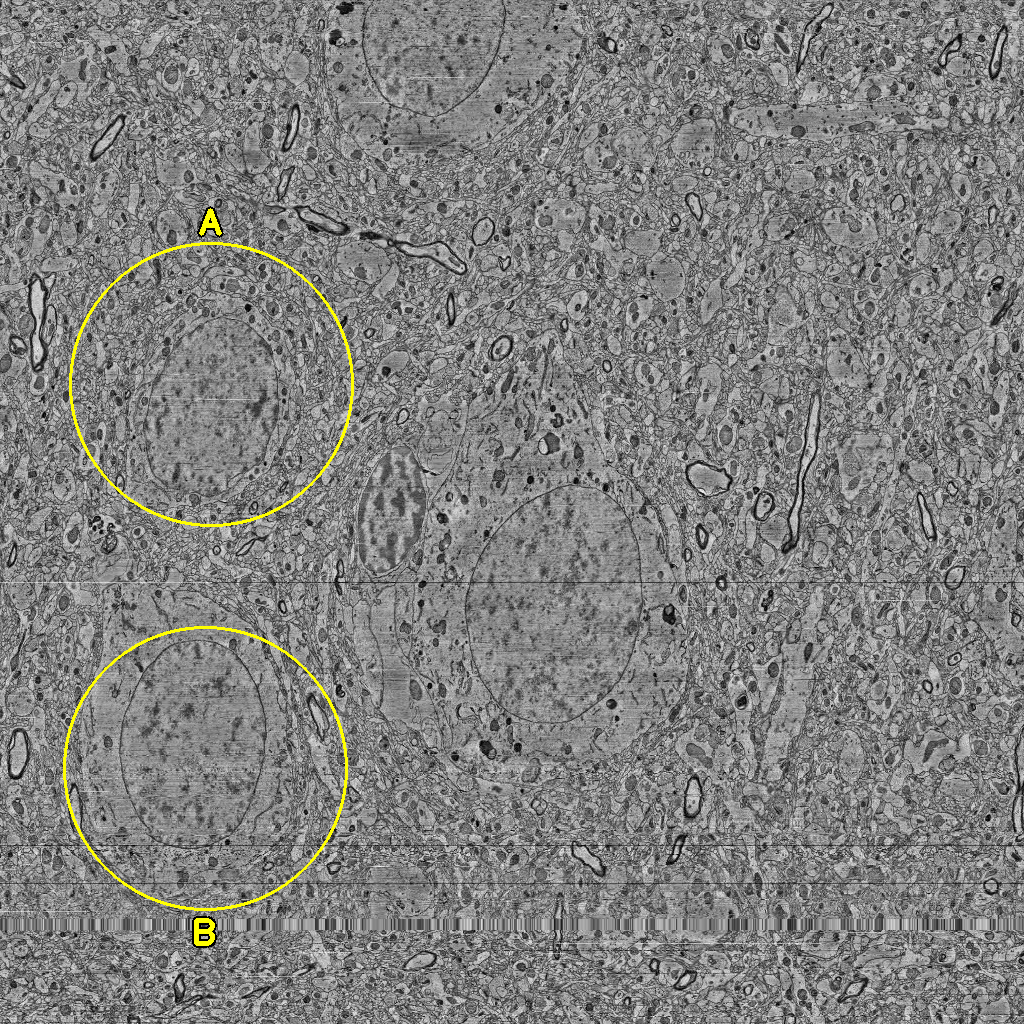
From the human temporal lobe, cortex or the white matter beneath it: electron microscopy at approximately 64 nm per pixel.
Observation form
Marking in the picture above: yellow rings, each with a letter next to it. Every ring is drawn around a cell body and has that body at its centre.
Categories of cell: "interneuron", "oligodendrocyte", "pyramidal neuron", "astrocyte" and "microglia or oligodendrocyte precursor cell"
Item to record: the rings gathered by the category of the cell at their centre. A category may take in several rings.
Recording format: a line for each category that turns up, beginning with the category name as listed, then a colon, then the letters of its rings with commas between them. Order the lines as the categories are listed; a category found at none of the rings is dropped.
interneuron: A
pyramidal neuron: B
